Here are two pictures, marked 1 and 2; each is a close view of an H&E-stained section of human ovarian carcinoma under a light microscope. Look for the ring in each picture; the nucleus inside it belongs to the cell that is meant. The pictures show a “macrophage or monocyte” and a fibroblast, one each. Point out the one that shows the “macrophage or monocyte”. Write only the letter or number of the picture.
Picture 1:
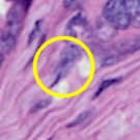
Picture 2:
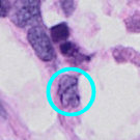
2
